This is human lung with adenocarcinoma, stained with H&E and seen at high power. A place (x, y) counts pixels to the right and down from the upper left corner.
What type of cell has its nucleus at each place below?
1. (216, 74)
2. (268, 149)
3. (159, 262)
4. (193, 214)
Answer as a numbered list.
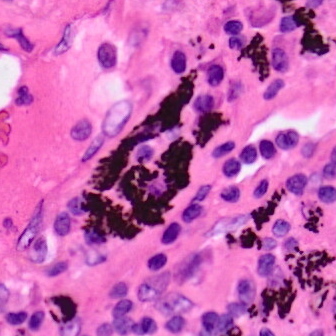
1. plasma cell
2. lymphocyte
3. lymphocyte
4. lymphocyte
